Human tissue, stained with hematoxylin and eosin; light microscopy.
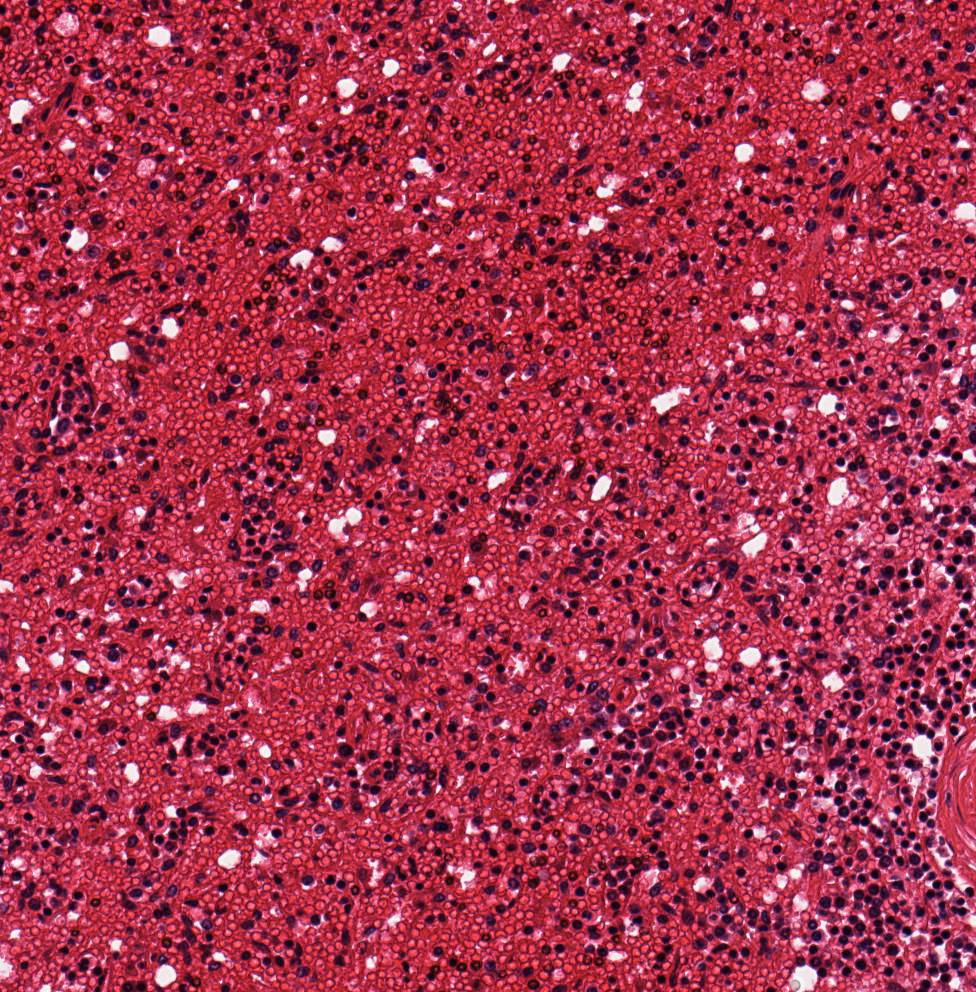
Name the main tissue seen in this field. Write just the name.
red pulp of the spleen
